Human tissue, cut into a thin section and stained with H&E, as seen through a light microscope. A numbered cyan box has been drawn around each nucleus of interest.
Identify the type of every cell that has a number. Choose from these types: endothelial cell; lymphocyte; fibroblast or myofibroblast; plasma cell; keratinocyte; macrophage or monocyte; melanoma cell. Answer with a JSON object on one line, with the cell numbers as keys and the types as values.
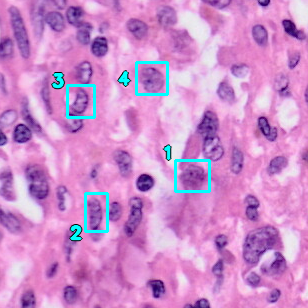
{"1": "melanoma cell", "2": "macrophage or monocyte", "3": "endothelial cell", "4": "macrophage or monocyte"}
